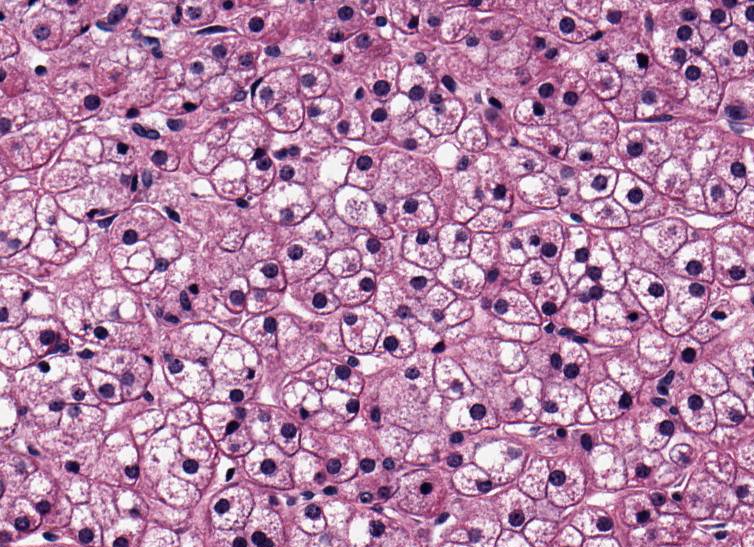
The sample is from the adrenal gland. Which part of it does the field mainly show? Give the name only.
zona fasciculata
